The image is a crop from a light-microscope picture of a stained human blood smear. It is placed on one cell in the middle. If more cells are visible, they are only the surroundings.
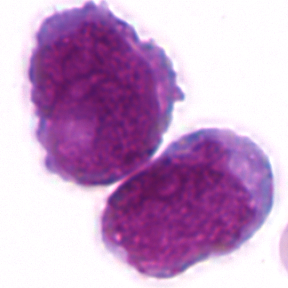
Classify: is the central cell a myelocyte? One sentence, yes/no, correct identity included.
No, instead of a myelocyte, the middle cell is an atypical promyelocyte.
